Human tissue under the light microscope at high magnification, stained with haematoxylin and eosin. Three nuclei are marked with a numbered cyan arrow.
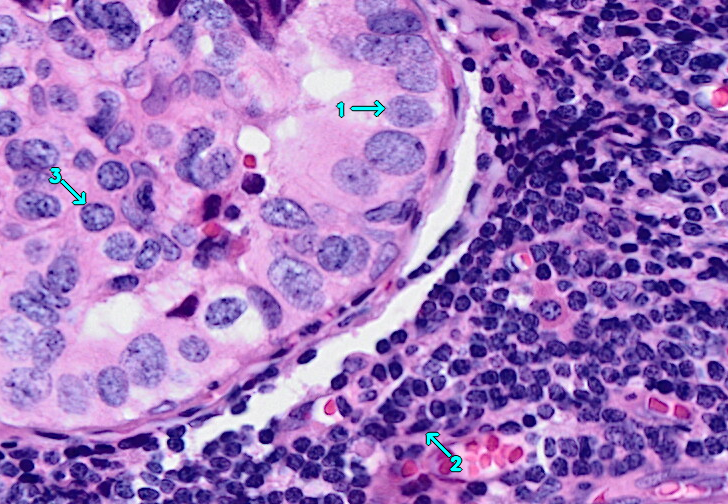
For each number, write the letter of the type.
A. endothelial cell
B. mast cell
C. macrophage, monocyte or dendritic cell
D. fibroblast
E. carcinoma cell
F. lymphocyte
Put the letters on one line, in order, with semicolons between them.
E; F; E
